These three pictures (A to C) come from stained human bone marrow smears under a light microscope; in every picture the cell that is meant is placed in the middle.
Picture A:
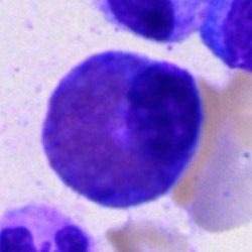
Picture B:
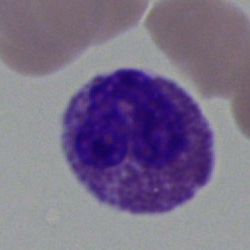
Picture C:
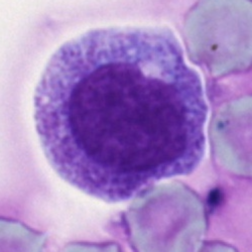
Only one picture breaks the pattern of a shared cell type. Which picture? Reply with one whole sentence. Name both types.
All pictures except C show eosinophils; picture C shows a promyelocyte.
